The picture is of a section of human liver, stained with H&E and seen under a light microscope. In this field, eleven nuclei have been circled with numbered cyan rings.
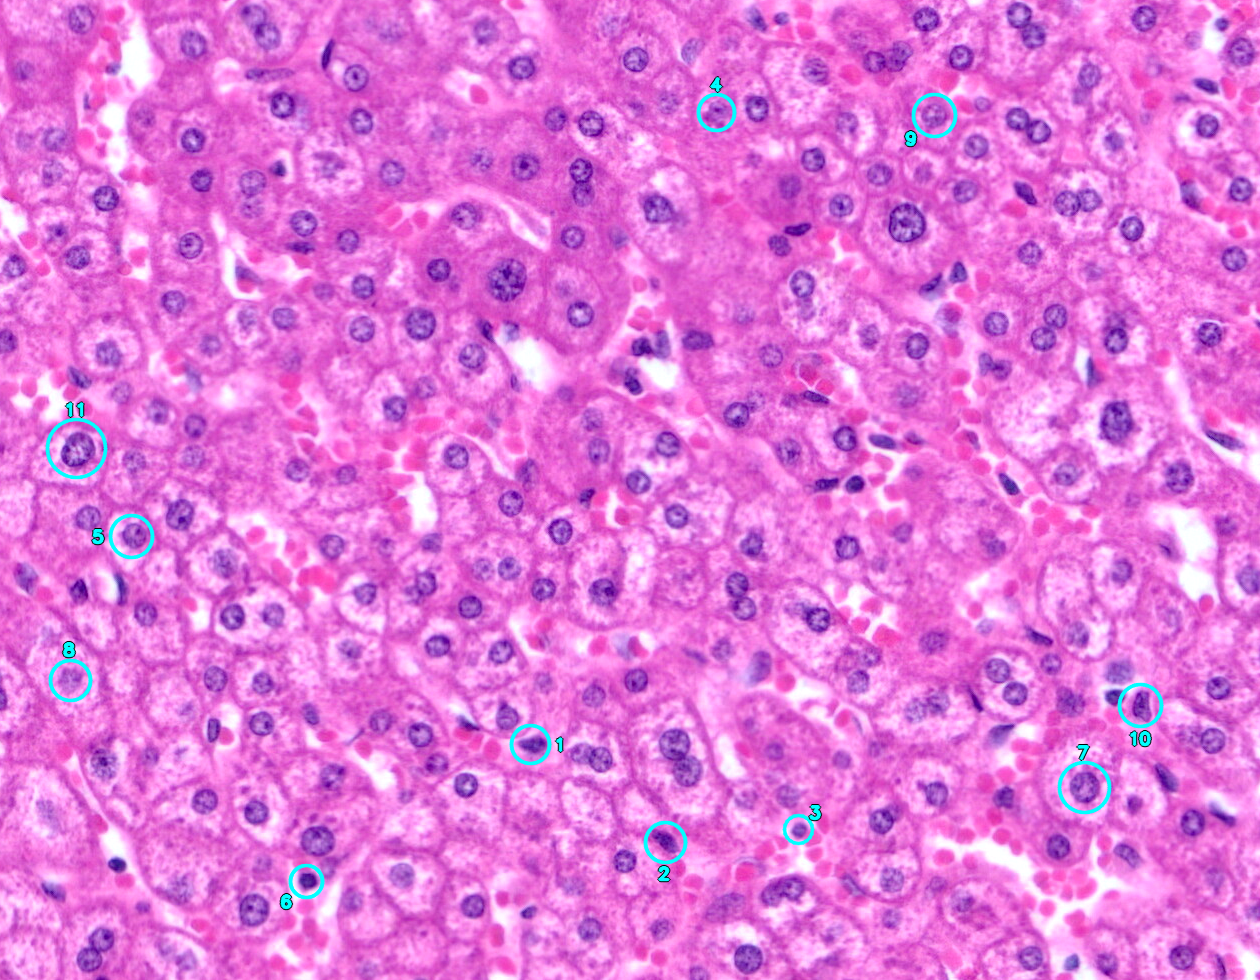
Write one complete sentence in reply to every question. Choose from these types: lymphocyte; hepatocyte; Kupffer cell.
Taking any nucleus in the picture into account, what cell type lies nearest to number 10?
The cell nearest to number 10 is a lymphocyte.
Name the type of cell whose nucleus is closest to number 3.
Number 3 lies closest to the nucleus of a hepatocyte.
